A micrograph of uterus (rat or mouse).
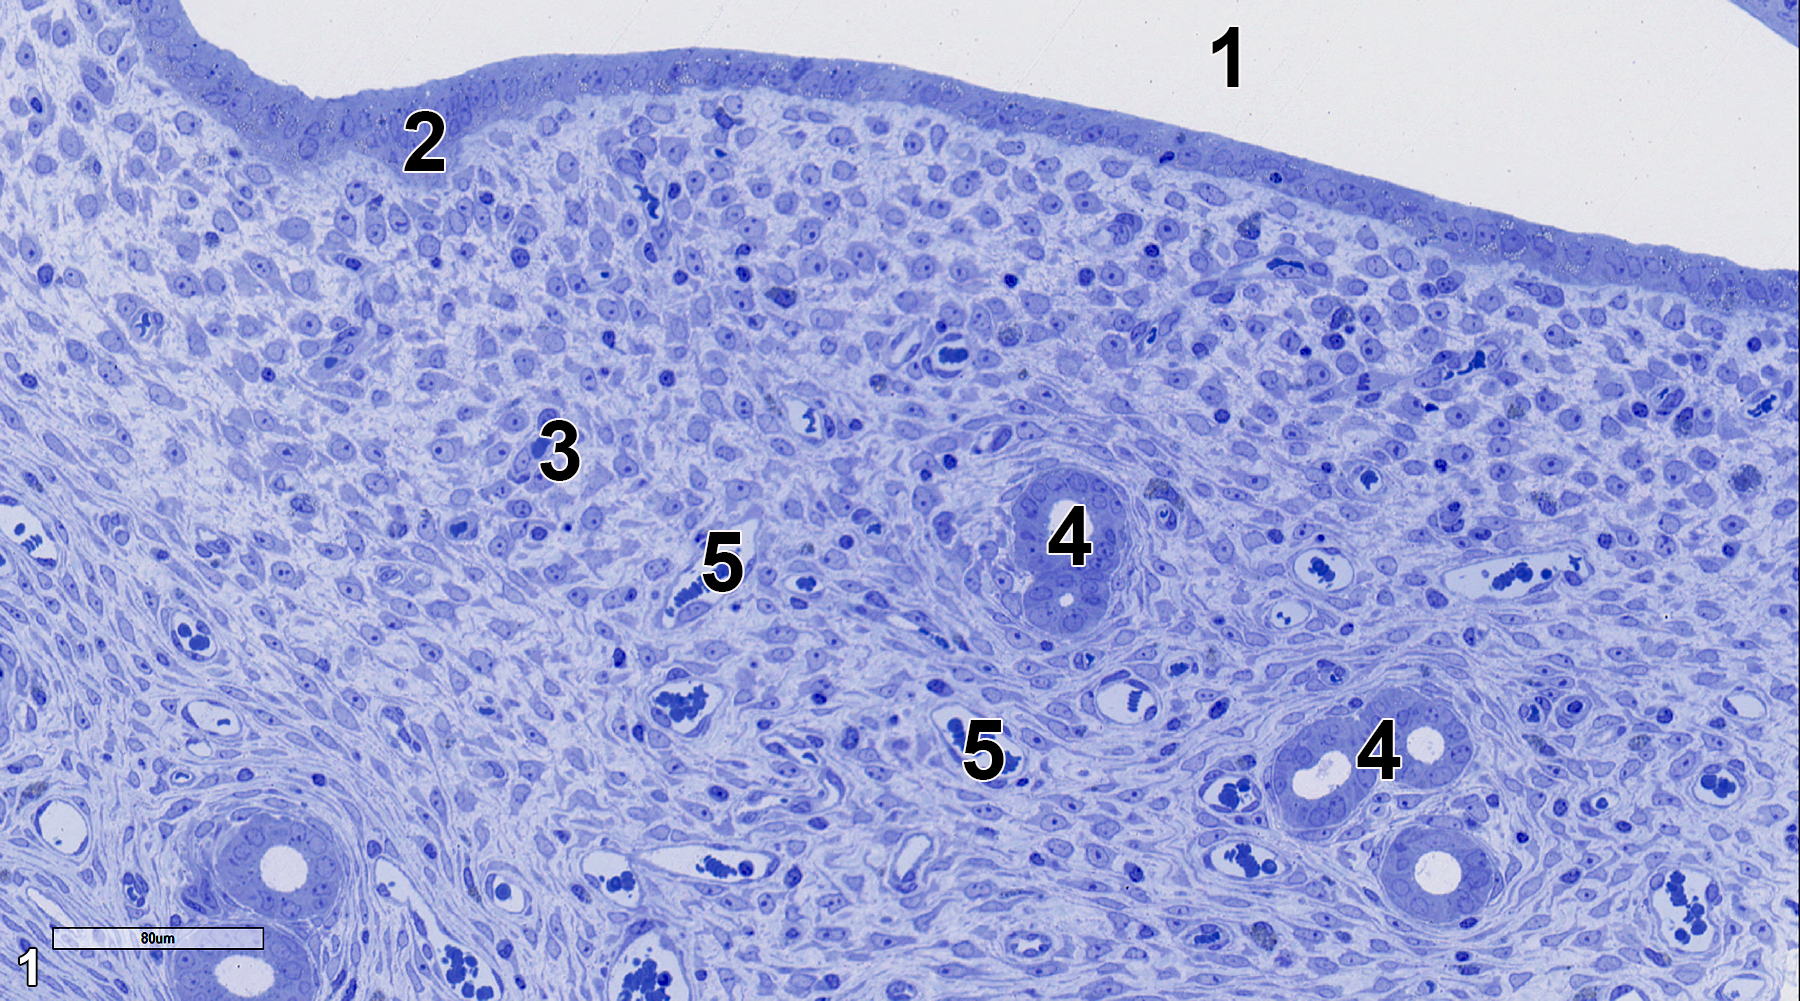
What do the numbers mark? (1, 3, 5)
(1) uterine lumen
(3) stromal layer
(5) vascular elements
